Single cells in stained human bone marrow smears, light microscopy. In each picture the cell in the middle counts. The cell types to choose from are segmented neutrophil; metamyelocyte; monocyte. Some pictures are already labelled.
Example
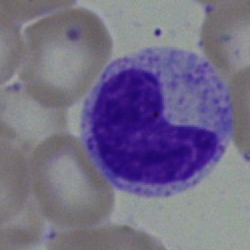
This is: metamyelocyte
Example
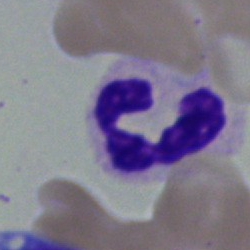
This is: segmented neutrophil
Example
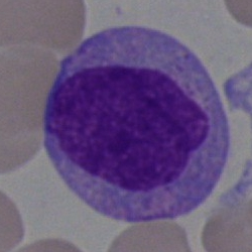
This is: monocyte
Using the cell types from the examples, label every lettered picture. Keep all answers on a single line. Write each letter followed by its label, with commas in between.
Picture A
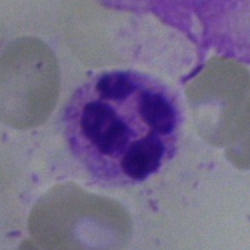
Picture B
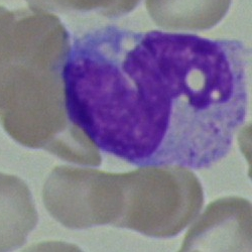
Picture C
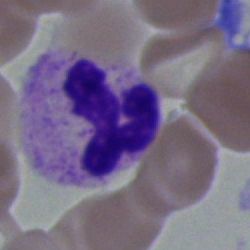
A segmented neutrophil, B monocyte, C segmented neutrophil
